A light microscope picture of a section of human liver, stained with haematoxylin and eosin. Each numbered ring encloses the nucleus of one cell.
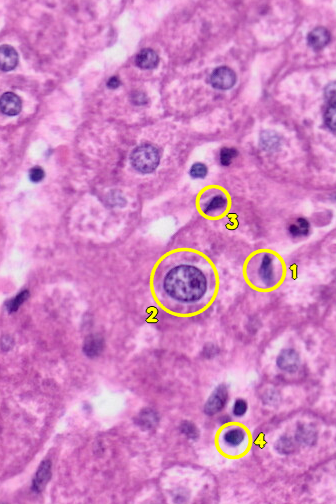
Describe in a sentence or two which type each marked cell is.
Cell 1 is an endothelial cell, cell 2 is a hepatocyte, cell 3 is a fibroblast or stellate cell and cell 4 is a lymphocyte.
